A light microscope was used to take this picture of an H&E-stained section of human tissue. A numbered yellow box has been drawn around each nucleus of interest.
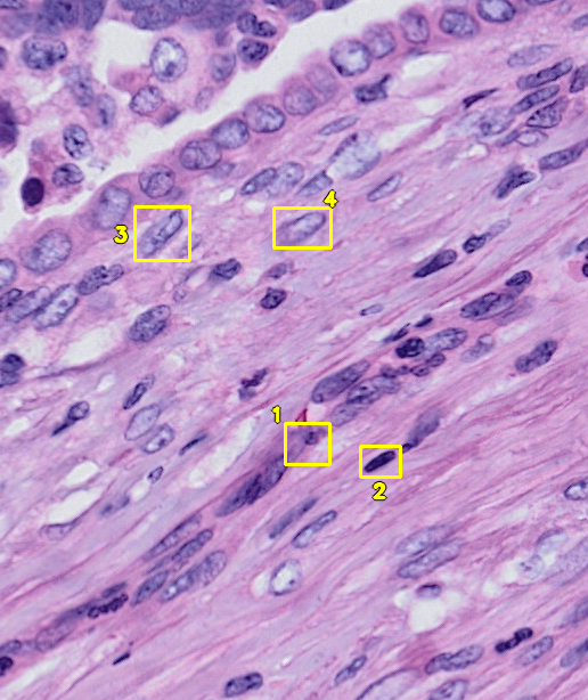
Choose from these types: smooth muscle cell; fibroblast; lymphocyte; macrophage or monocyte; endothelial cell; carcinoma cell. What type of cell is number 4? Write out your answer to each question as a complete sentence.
The numeral 4 marks a fibroblast in this section.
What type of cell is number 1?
The cell identified by number 1 is an endothelial cell.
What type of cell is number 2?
The cell assigned the number 2 is a lymphocyte.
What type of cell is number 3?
In this section, number 3 marks a fibroblast.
